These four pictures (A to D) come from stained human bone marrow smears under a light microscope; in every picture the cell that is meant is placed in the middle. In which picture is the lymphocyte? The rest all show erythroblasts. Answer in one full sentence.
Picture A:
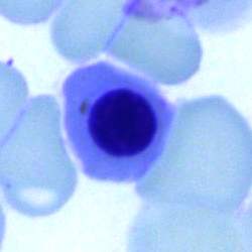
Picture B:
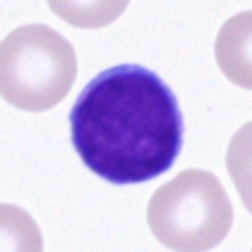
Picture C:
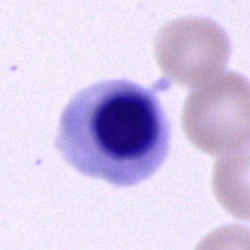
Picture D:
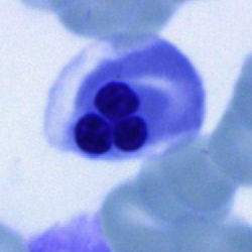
Picture B is the one that shows the lymphocyte.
